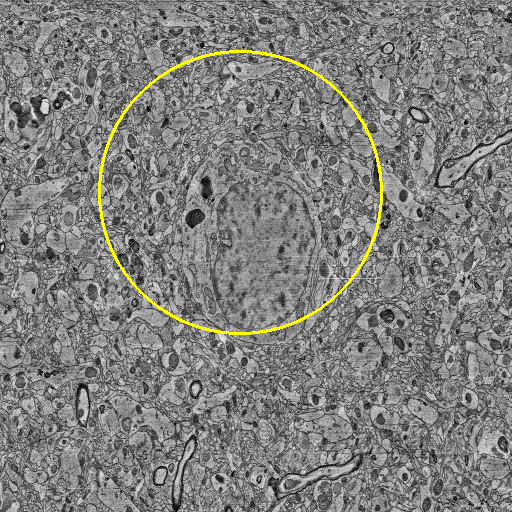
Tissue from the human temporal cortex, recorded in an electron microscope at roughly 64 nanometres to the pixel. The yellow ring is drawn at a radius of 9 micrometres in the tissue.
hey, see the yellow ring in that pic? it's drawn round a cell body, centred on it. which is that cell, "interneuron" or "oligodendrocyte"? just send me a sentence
The cell in the ring is an interneuron.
